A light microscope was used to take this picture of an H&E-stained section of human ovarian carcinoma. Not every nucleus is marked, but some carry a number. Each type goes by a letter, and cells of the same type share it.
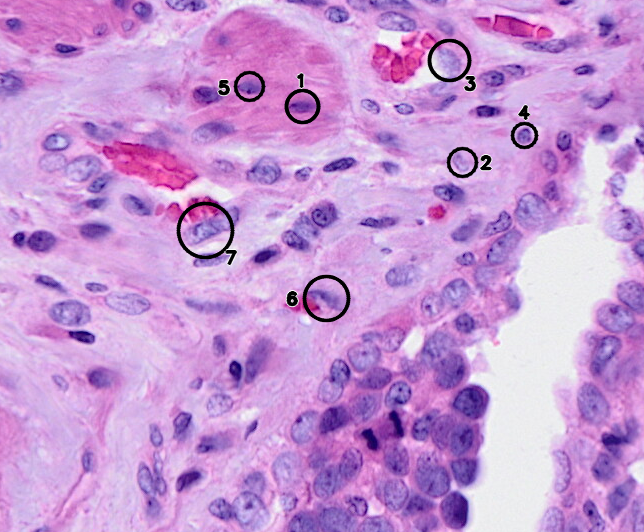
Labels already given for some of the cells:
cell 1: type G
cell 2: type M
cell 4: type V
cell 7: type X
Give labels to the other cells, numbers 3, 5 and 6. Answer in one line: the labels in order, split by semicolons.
type X; type G; type X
